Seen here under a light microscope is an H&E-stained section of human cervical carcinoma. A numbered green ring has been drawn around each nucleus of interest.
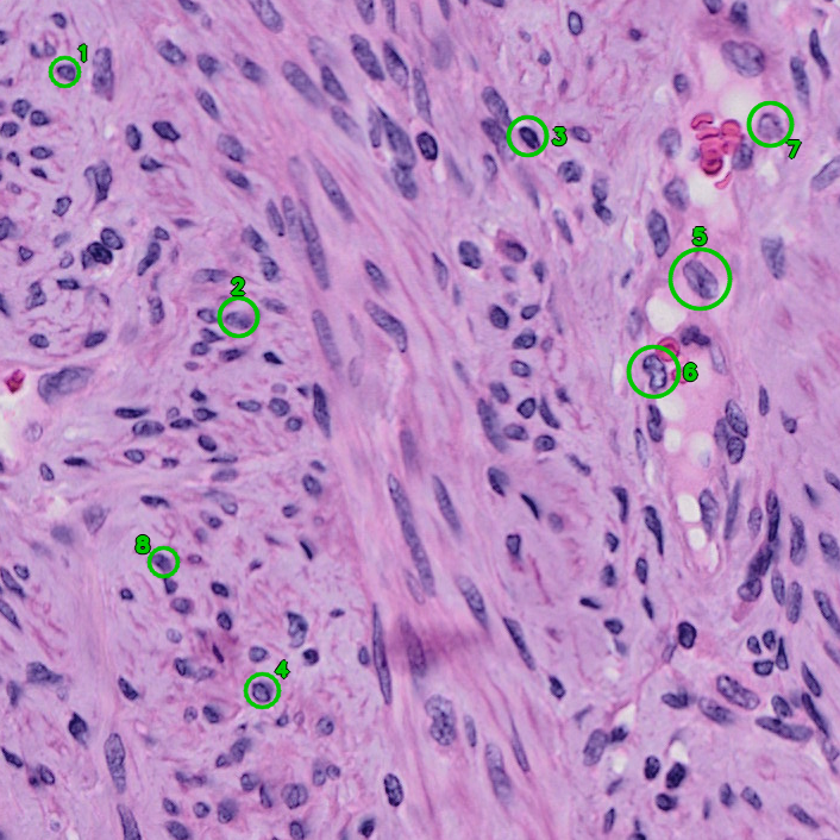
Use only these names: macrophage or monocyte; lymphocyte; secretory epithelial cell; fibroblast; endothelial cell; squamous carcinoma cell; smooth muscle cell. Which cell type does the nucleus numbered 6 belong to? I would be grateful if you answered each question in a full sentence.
Identified as an endothelial cell is the cell bearing the number 6.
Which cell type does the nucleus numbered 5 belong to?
Corresponding to an endothelial cell is the cell labelled 5.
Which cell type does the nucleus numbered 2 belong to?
The cell identified by number 2 is a smooth muscle cell.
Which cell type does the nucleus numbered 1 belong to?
Of the numbered cells, the one labelled 1 is a smooth muscle cell.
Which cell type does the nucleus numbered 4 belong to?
Belonging to a smooth muscle cell is the nucleus that carries the number 4.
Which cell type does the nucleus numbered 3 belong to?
The cell that bears the number 3 is a lymphocyte.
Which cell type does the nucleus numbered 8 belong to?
The marked cell bearing number 8 is a smooth muscle cell.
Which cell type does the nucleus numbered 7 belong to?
Cell 7 in the field of view is an endothelial cell.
